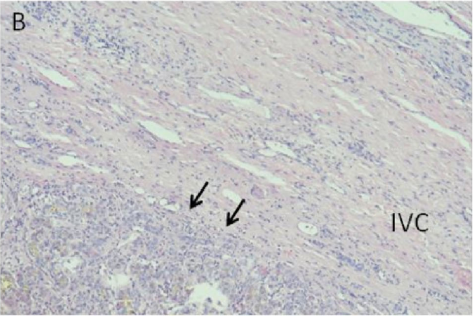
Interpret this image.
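This field shows dense fibrous connective tissue lying next to a more cellular tissue zone. The upper and right parts are taken up by pale pink, roughly parallel fibres with scattered elongated dark nuclei and numerous slit-like clear spaces running in the same direction. Toward the lower left the tissue becomes crowded with small, round, purple nuclei, giving a denser and darker appearance. The boundary between the cellular zone and the fibrous layer runs obliquely across the field.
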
